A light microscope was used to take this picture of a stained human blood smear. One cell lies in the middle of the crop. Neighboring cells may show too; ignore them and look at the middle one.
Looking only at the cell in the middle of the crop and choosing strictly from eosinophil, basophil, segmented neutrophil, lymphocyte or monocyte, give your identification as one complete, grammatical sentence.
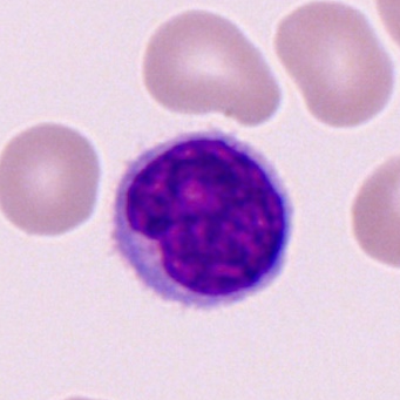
The centrally located cell in the crop is a lymphocyte.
